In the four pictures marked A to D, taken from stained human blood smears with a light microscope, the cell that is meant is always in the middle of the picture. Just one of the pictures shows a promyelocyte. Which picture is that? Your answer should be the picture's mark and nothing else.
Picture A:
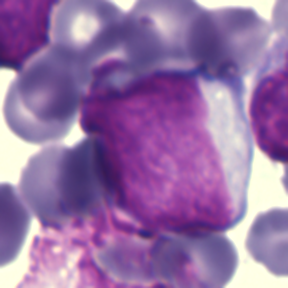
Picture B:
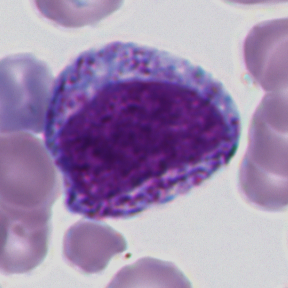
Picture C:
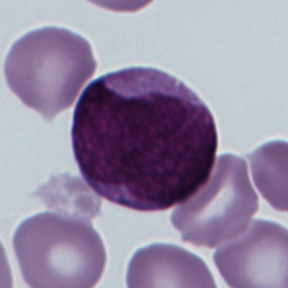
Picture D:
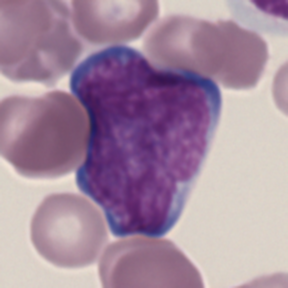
B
